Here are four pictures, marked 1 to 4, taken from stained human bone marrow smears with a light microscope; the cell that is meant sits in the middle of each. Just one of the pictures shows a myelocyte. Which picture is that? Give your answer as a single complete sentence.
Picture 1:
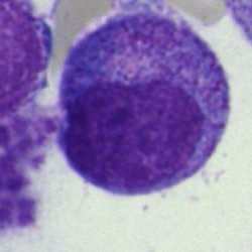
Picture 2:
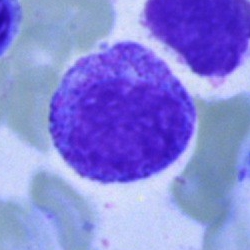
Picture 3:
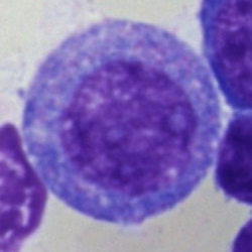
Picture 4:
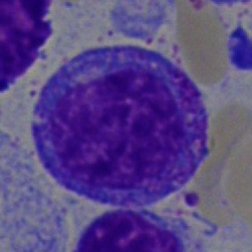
The myelocyte is the one in picture 2.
